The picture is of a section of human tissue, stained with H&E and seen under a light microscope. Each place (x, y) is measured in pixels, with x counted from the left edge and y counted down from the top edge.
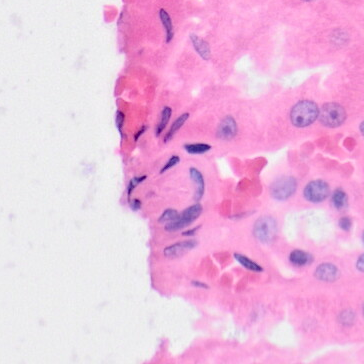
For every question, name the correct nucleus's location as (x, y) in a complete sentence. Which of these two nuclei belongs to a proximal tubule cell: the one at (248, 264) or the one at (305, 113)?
Between the pair, the nucleus at (305, 113) belongs to a proximal tubule cell.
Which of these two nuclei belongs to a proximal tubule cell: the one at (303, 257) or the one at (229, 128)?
Among the two nuclei, the one found at (229, 128) belongs to a proximal tubule cell.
